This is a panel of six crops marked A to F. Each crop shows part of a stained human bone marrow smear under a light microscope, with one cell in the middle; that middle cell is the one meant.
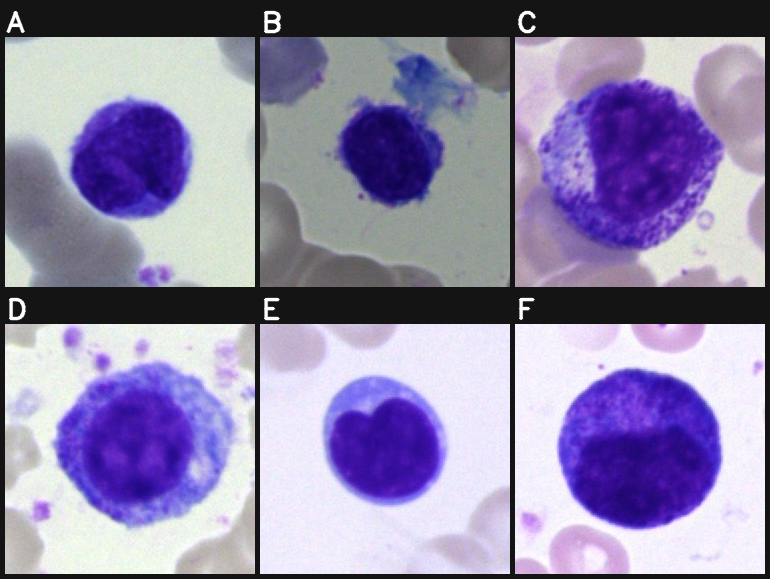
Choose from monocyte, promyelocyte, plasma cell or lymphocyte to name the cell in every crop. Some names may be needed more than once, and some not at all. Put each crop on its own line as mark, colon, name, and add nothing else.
A: monocyte
B: lymphocyte
C: promyelocyte
D: promyelocyte
E: lymphocyte
F: promyelocyte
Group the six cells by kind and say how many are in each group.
promyelocyte: 3
lymphocyte: 2
monocyte: 1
